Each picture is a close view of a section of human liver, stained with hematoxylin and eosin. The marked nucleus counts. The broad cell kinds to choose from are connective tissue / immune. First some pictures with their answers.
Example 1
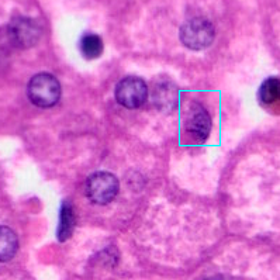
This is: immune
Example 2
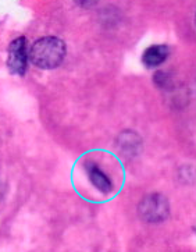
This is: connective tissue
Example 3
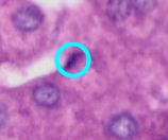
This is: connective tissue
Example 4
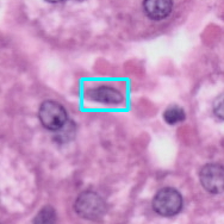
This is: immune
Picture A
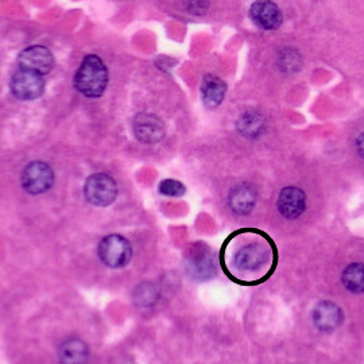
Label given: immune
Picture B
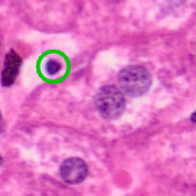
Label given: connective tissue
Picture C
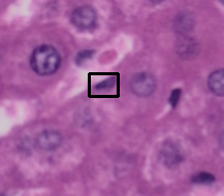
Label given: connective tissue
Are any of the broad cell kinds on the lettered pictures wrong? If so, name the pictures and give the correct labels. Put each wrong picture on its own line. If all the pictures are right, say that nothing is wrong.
B: not connective tissue but immune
